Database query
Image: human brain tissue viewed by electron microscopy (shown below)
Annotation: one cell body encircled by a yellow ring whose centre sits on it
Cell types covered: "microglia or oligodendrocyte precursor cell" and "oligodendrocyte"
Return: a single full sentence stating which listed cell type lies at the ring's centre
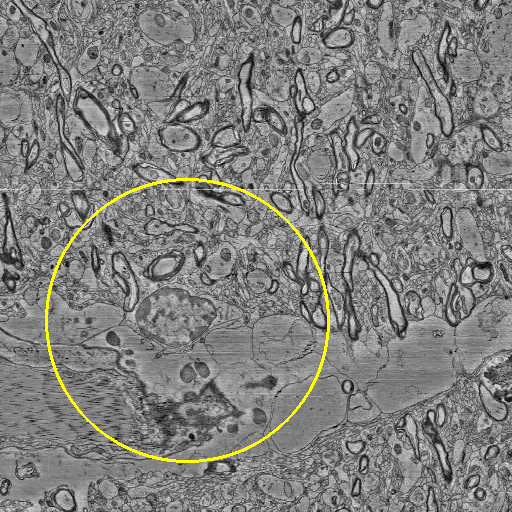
In the image, the cell lying at the ring's centre is a microglial cell or oligodendrocyte precursor cell.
